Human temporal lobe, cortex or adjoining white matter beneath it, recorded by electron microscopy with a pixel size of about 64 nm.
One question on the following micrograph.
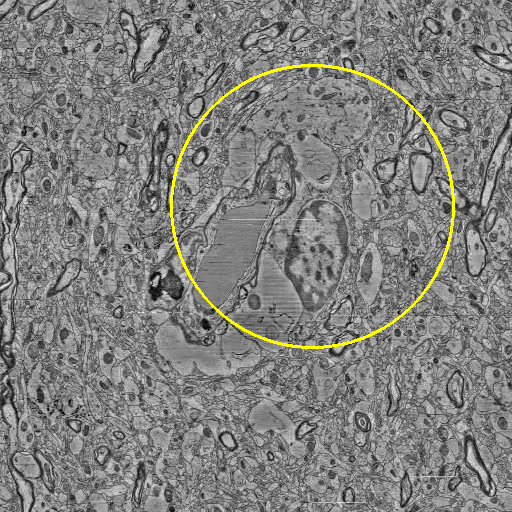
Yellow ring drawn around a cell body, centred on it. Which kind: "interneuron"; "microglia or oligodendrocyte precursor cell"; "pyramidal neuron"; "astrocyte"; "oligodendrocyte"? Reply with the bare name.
microglia or oligodendrocyte precursor cell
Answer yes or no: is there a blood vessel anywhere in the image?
Yes, the image shows a blood vessel.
